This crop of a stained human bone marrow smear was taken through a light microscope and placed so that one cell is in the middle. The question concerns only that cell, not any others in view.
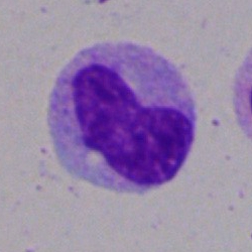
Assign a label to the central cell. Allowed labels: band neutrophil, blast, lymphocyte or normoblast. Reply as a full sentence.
The cell sitting right in the middle is a band neutrophil.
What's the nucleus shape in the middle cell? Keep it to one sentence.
A single compact nucleus, round, oval or kidney-shaped, is what this cell shows.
